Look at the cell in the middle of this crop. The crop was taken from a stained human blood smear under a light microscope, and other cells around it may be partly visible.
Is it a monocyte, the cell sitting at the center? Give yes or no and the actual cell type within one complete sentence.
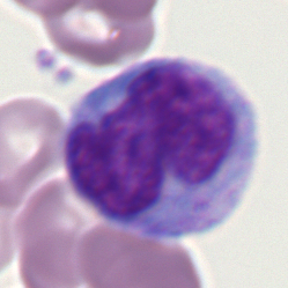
Yes, the cell placed centrally within the crop is a monocyte.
